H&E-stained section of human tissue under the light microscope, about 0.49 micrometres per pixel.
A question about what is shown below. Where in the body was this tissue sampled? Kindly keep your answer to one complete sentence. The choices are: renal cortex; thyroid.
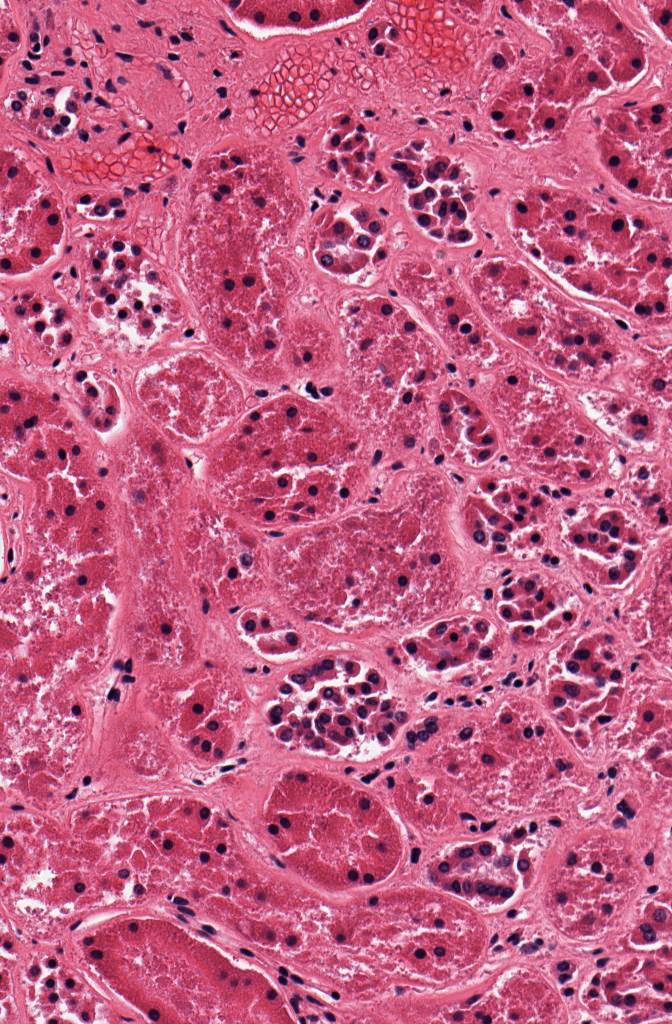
Obtained from the renal cortex, the tissue was sectioned for this slide.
